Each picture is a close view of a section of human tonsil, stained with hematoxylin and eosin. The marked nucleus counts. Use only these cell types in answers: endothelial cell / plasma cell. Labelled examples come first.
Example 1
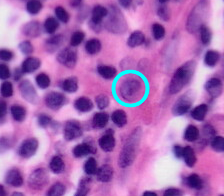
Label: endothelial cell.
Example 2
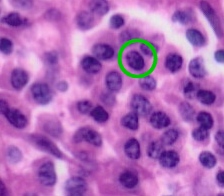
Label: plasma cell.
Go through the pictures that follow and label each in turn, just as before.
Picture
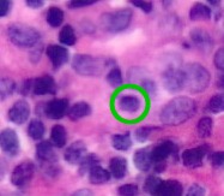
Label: endothelial cell.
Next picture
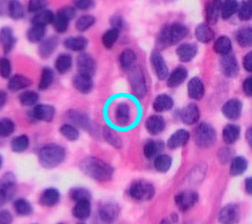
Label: endothelial cell.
